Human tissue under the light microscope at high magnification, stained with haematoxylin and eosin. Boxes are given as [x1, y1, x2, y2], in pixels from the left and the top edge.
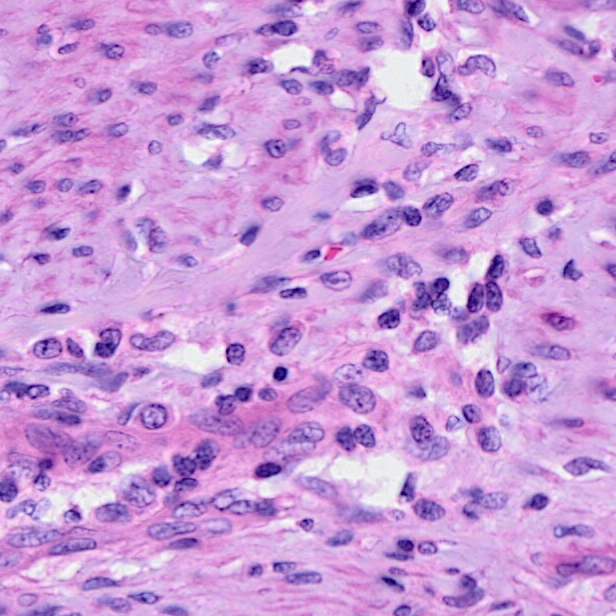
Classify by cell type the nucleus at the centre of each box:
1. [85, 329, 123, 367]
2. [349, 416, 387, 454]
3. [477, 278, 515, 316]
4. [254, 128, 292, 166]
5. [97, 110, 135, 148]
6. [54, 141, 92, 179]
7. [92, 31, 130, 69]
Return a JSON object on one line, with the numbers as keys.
{"1": "lymphocyte", "2": "lymphocyte", "3": "lymphocyte", "4": "smooth muscle cell", "5": "smooth muscle cell", "6": "smooth muscle cell", "7": "smooth muscle cell"}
